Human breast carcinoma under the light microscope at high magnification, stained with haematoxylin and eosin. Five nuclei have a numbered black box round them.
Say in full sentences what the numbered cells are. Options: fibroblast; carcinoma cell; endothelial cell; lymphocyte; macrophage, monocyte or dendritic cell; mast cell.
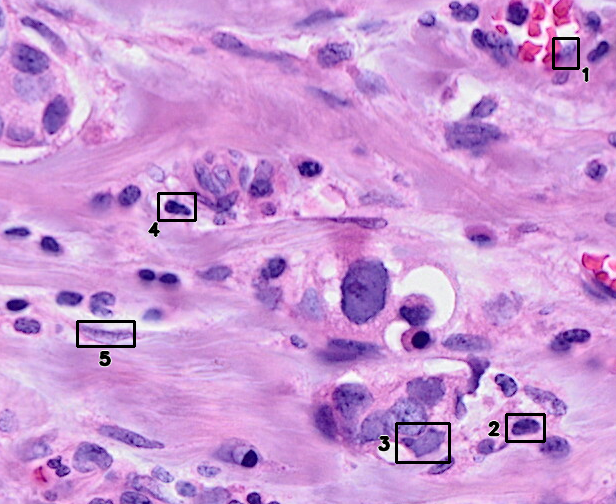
Cell 1 is an endothelial cell. Cells 2 and 4 are lymphocytes. Cell 3 is a carcinoma cell. Cell 5 is a fibroblast.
